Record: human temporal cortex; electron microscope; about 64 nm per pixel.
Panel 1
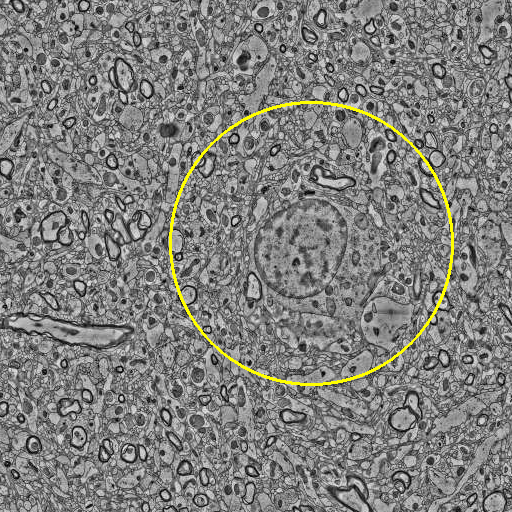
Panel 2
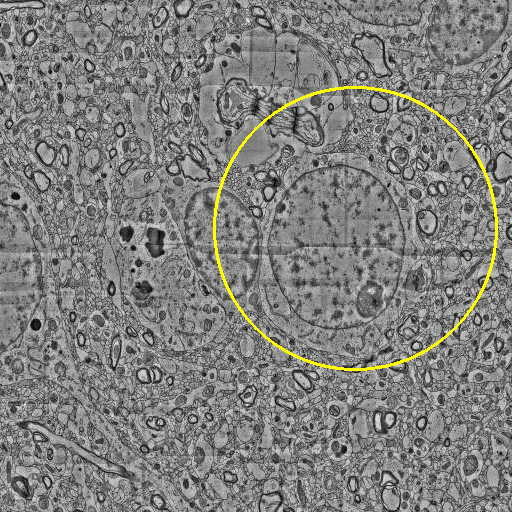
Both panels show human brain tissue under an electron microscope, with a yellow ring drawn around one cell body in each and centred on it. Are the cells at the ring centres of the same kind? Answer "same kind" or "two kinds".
two kinds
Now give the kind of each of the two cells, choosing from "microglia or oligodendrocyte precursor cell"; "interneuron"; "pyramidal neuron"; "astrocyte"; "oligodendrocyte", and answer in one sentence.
The cell in the first picture is an oligodendrocyte, and the cell in the second is a pyramidal neuron.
